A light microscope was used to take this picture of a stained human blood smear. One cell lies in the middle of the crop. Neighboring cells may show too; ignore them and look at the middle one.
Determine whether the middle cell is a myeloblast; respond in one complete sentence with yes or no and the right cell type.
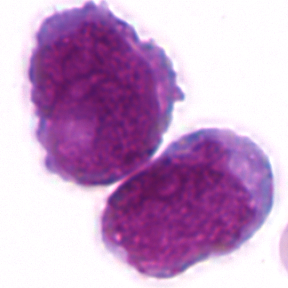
No, the cell found centrally in the crop is an atypical promyelocyte, not a myeloblast.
